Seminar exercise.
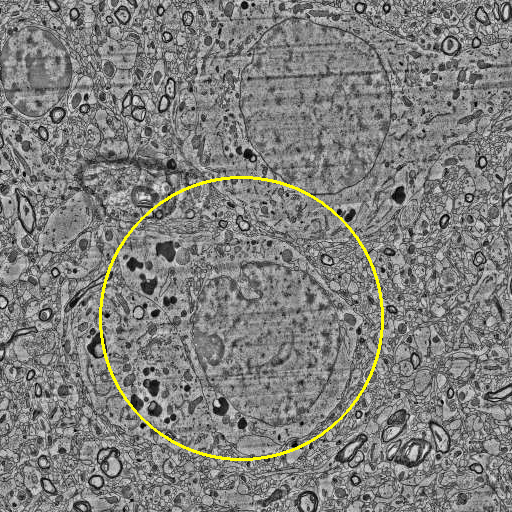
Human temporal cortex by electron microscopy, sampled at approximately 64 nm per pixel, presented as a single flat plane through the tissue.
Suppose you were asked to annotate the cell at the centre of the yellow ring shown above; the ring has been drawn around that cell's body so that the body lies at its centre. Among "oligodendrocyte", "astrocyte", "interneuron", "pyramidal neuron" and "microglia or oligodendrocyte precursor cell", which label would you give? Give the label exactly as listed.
interneuron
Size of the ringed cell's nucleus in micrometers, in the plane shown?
About 10 micrometres across, as seen in this plane.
